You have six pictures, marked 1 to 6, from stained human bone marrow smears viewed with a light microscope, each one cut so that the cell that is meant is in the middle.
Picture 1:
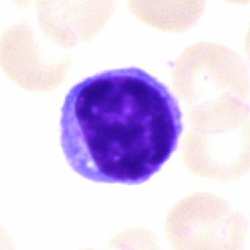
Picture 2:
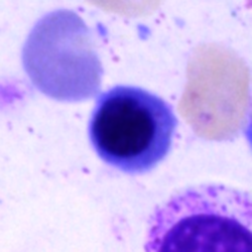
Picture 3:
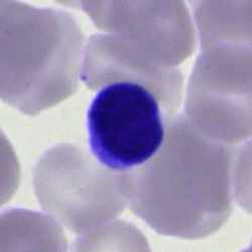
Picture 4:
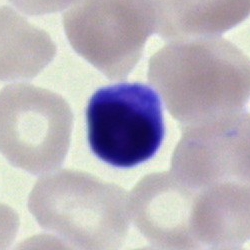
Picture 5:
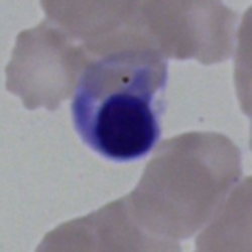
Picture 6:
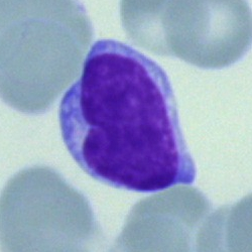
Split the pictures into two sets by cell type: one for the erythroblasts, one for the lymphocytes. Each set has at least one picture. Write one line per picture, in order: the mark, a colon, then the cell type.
1: lymphocyte
2: erythroblast
3: lymphocyte
4: lymphocyte
5: erythroblast
6: lymphocyte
